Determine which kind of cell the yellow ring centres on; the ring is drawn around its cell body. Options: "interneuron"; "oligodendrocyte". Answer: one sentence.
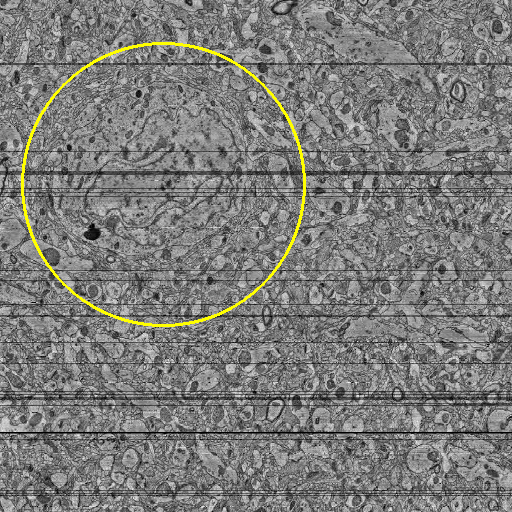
The ring centres on an interneuron.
